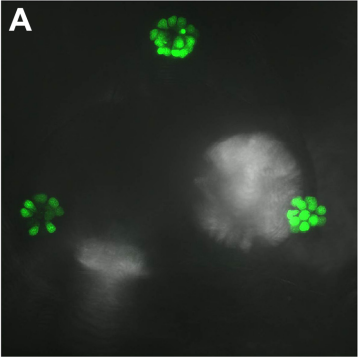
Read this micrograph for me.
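This is a fluorescence view of the inner ear, showing sensory hair cells labelled in green. The labelled cells are small and rounded, and they are packed tightly together. They form three separate rosette-like clusters, each made of roughly a dozen cells. The clusters lie around two grey, finely textured oval masses seen in transmitted light. Outside the clusters the background is dark and unlabelled.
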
